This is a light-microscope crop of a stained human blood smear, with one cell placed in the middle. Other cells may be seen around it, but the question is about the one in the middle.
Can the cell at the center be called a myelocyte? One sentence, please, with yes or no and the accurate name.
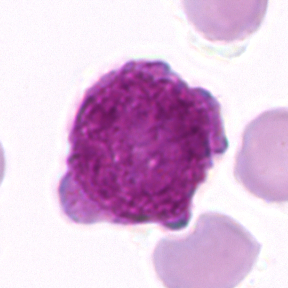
No, the central cell is not to be called a myelocyte, being an atypical promyelocyte.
